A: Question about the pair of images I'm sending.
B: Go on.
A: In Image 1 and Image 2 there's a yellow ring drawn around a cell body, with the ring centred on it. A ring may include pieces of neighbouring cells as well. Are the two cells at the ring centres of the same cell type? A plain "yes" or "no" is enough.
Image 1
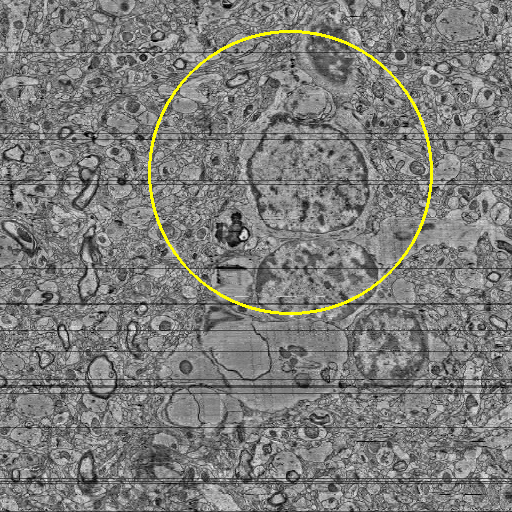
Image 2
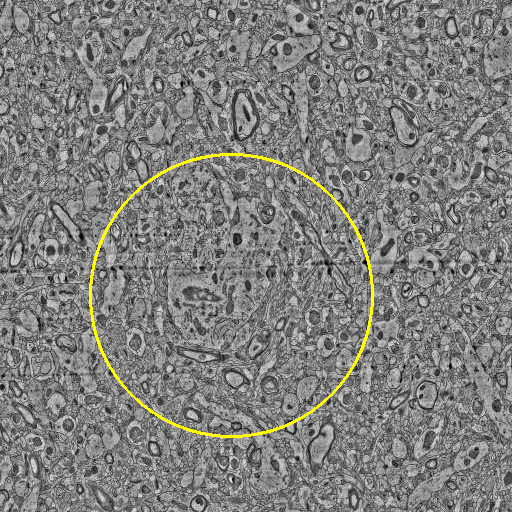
yes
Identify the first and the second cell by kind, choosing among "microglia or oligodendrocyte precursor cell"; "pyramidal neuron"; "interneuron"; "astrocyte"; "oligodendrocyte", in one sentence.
Each of the ringed cells, first and second, is a microglial cell or oligodendrocyte precursor cell.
